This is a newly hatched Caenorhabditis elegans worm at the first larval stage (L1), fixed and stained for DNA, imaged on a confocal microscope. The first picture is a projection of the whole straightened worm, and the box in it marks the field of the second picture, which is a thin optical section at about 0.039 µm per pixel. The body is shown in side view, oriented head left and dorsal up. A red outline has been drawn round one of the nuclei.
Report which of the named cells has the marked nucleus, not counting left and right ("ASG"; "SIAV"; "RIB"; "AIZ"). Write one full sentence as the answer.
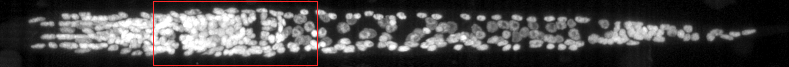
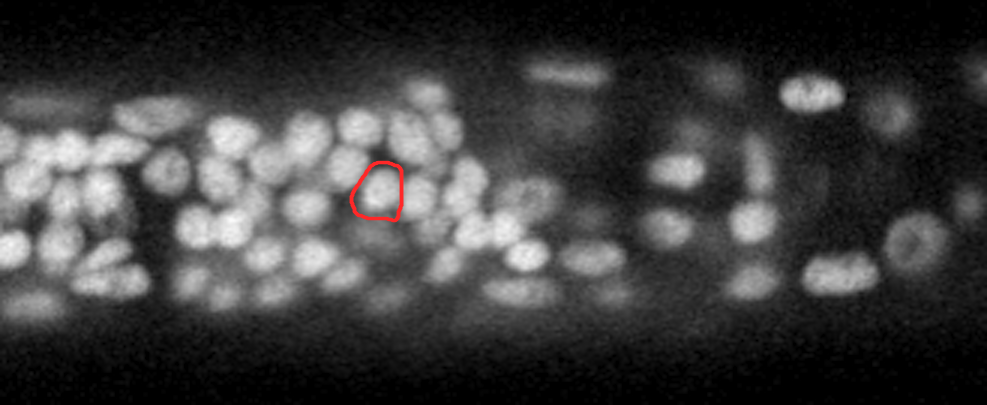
It is the nucleus of RIB, a neuron.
